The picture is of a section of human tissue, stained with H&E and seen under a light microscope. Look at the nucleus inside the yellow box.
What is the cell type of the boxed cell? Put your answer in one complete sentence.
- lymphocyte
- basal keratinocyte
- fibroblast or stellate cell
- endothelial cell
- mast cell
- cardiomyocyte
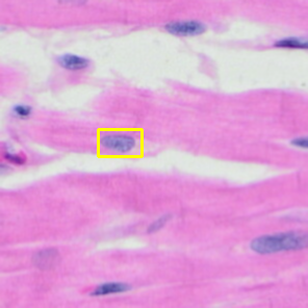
In this section, the boxed cell is a cardiomyocyte.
